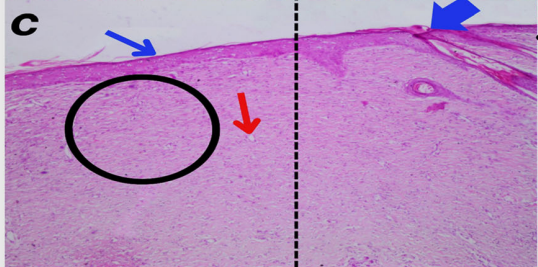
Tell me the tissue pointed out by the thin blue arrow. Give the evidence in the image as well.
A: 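The arrow points to the pink cellular layer covering the surface. The layer is several cells thick with a denser pink outer rim. So: Stratified squamous keratinized epithelium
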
